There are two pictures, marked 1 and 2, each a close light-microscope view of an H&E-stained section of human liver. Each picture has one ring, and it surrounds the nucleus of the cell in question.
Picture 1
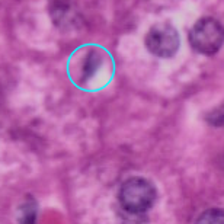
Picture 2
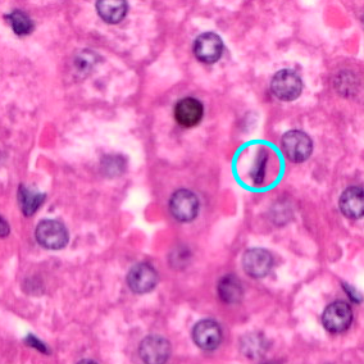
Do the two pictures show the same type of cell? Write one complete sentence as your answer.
Yes; the cells in both pictures are endothelial cells.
